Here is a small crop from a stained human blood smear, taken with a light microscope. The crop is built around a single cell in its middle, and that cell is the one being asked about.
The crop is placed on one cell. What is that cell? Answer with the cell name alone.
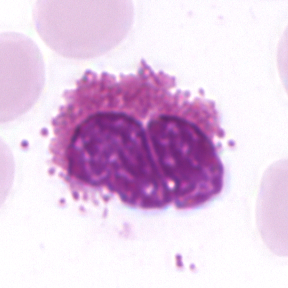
eosinophil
